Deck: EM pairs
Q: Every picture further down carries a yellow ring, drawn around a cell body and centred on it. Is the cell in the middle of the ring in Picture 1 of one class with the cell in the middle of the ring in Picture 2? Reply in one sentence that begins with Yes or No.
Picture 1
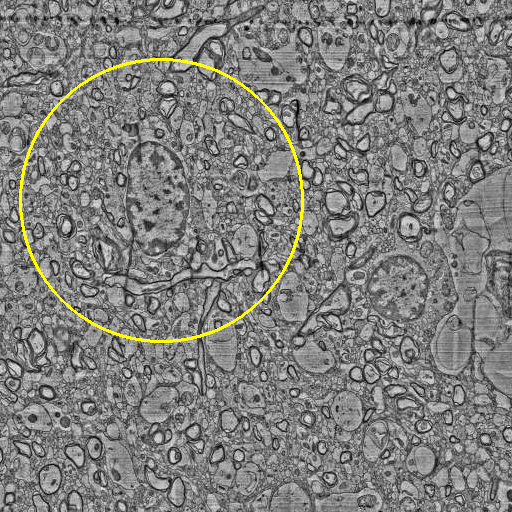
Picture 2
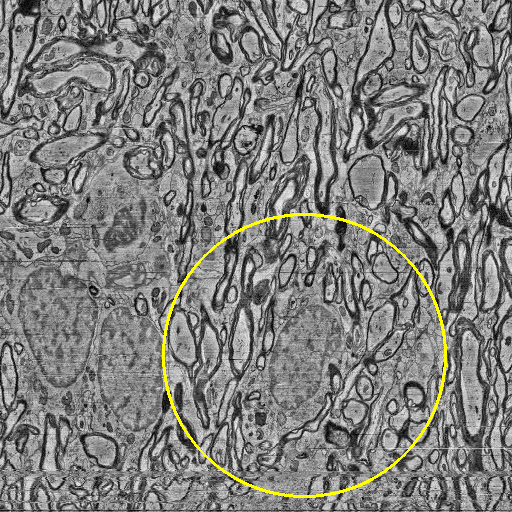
No, the cell centred in the ring of Picture 1 and the one in Picture 2 belong to separate classes.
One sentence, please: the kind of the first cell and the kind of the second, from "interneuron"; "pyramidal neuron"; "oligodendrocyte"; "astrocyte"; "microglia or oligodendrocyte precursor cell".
The ring in the first picture surrounds a microglial cell or oligodendrocyte precursor cell, and the ring in the second surrounds an oligodendrocyte.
